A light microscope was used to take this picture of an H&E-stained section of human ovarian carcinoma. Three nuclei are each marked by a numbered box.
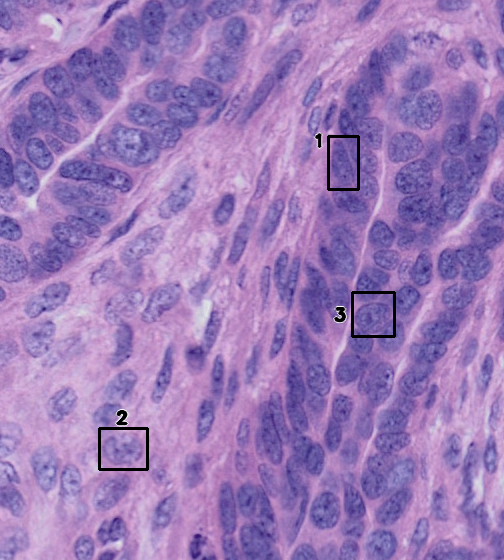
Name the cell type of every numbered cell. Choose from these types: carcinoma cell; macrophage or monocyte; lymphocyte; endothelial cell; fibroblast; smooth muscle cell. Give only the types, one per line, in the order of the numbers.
carcinoma cell
fibroblast
carcinoma cell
